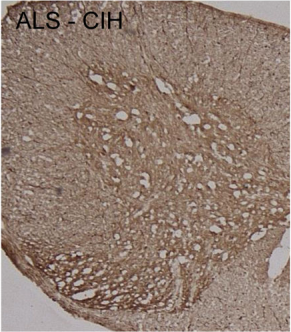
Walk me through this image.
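This is a low-power section of nervous tissue in which a central grey region is surrounded by a rim of white matter, and the whole is stained a dense, dark brown. The brown stain forms a fine meshwork of fibres throughout the grey and white matter and is strongest along the outer margin and in the lower white matter. Many small round pale holes stud the tissue, giving it a sieve-like look.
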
